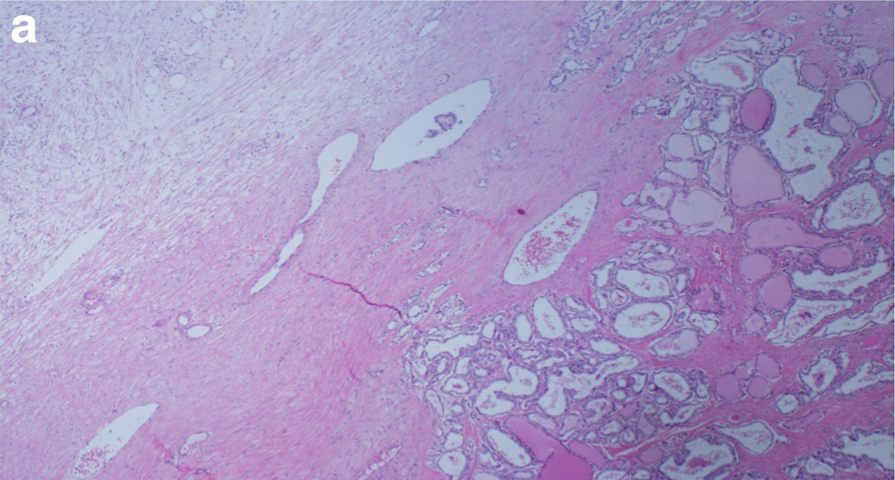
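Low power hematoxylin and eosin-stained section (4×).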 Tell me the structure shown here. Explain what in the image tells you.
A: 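Round to irregular spaces lined by epithelium fill the right half. Many spaces contain pink homogeneous material. A spindle-cell stroma with vessels occupies the left half.
Hence: thyroid follicles.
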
